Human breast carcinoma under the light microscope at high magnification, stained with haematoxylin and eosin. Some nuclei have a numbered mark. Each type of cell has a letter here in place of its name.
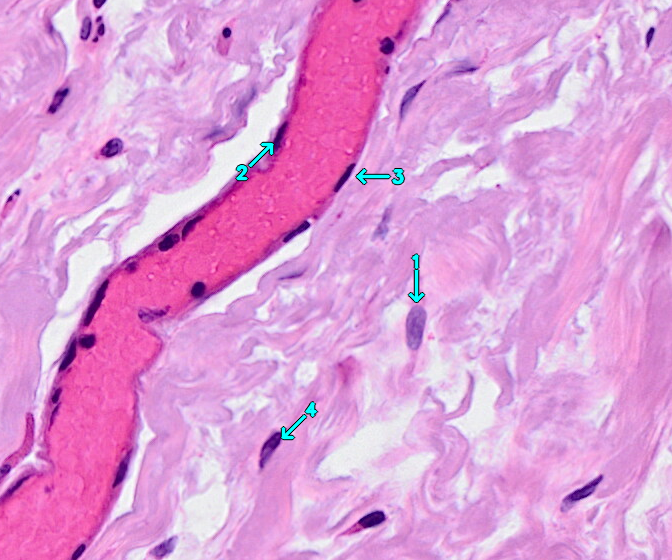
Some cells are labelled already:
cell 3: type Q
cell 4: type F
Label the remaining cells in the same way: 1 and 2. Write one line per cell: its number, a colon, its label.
1: type F
2: type Q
